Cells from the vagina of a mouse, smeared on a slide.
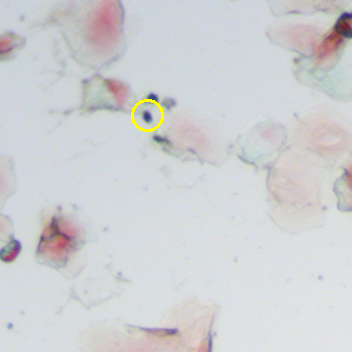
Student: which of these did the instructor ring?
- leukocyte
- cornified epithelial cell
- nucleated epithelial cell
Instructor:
The cell I ringed is a leukocyte.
